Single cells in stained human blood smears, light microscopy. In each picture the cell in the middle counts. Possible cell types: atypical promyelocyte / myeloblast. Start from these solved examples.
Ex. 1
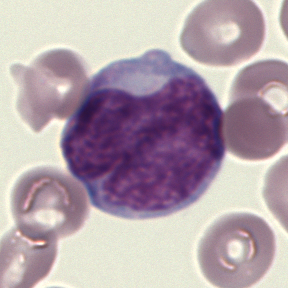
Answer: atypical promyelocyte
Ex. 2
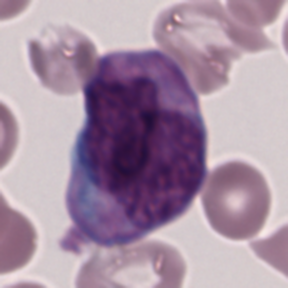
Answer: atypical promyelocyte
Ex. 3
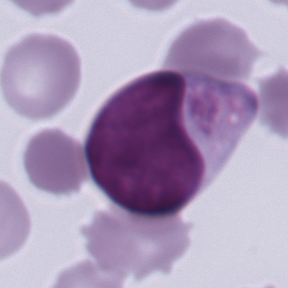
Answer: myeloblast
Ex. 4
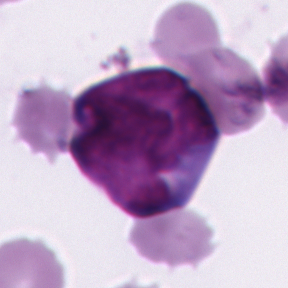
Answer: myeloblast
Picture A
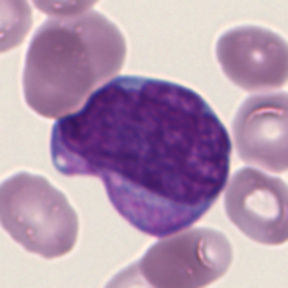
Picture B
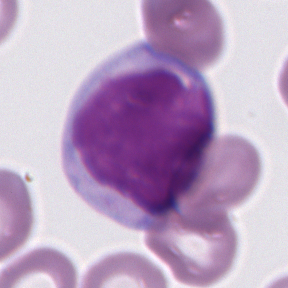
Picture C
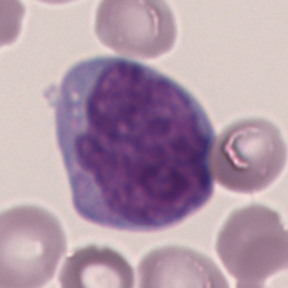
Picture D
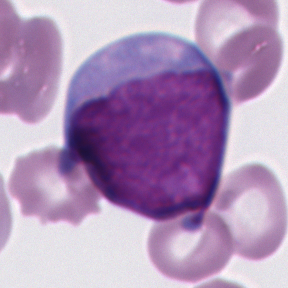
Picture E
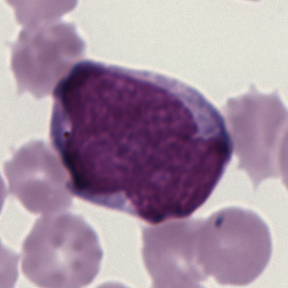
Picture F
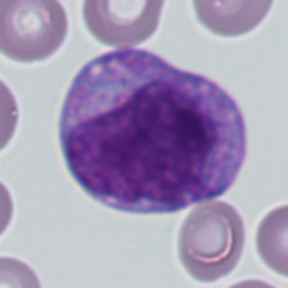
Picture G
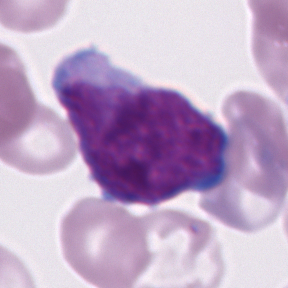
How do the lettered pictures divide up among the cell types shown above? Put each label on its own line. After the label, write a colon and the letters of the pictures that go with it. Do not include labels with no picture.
atypical promyelocyte: A, C, F
myeloblast: B, D, E, G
